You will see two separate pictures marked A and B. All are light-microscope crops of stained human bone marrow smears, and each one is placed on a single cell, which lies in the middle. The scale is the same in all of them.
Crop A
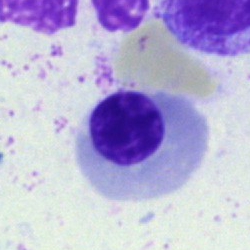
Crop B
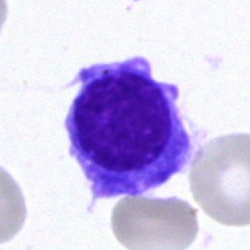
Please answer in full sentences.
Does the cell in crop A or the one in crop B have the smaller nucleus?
The nucleus in crop A is smaller; the one in crop B has about 2 times its area.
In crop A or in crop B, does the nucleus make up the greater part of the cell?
It is the cell in crop B that is filled more by its nucleus.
